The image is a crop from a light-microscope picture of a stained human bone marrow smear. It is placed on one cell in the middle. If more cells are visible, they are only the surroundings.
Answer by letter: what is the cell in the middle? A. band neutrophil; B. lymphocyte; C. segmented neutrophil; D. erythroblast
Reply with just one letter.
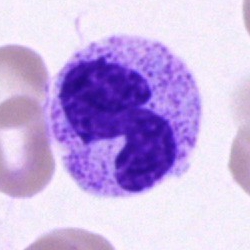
C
